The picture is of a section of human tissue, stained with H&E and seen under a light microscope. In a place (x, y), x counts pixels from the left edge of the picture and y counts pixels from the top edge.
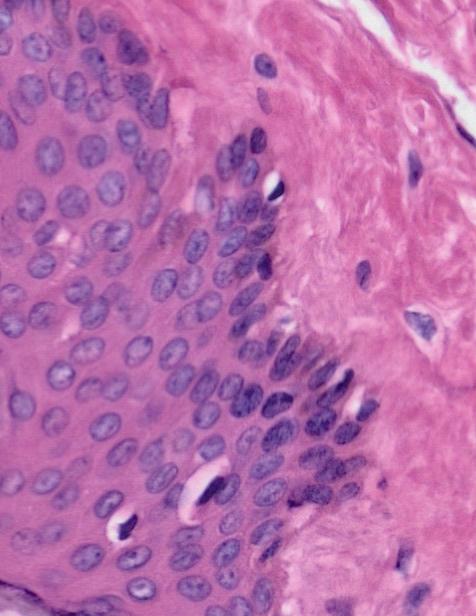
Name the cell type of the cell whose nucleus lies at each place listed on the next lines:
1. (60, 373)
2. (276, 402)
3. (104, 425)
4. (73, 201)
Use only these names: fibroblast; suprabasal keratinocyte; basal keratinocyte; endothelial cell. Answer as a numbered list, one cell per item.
1. suprabasal keratinocyte
2. basal keratinocyte
3. suprabasal keratinocyte
4. suprabasal keratinocyte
